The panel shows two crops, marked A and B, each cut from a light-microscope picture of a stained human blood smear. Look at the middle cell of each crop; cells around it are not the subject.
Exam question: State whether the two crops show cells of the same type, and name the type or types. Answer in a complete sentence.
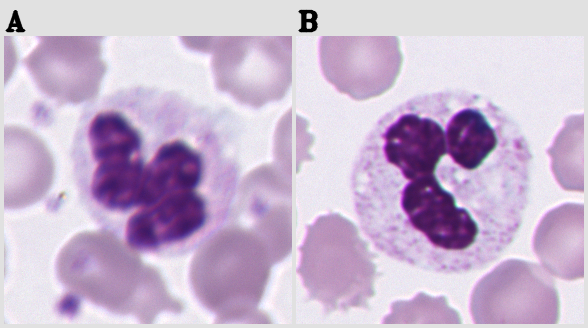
Yes, the two crops are alike in showing segmented neutrophils.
